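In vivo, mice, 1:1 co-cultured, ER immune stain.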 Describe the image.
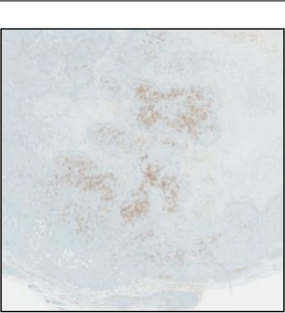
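This is a tumor section counterstained pale blue, in which most of the tissue shows no brown stain. Toward the middle, small scattered clumps of brown-stained cells stand out against the blue background, grouped into patchy clusters rather than spread evenly.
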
